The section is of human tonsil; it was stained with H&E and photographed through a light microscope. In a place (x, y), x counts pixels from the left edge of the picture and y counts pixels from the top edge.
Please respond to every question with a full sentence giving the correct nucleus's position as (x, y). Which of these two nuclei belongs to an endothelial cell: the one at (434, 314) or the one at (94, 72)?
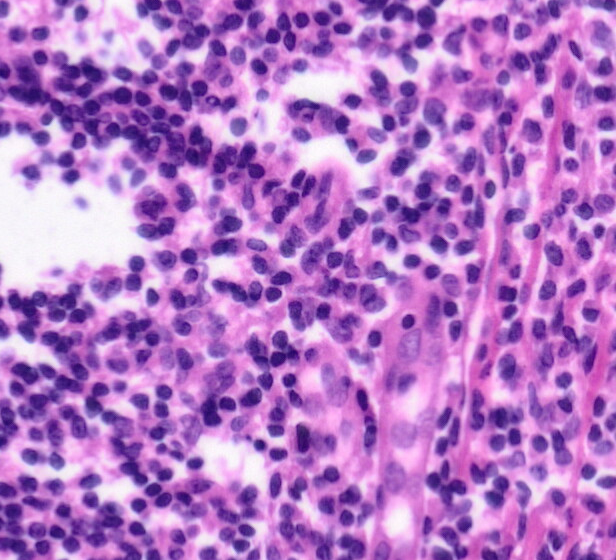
The correct choice is the nucleus at (434, 314), which belongs to an endothelial cell.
